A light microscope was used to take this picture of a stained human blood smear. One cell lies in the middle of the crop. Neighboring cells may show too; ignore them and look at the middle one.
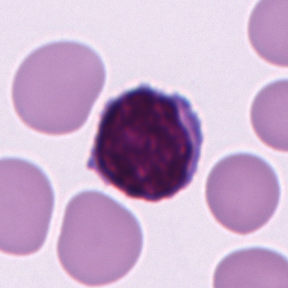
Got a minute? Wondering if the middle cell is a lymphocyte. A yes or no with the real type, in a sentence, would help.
Yes, placed in the middle of the crop is a lymphocyte.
